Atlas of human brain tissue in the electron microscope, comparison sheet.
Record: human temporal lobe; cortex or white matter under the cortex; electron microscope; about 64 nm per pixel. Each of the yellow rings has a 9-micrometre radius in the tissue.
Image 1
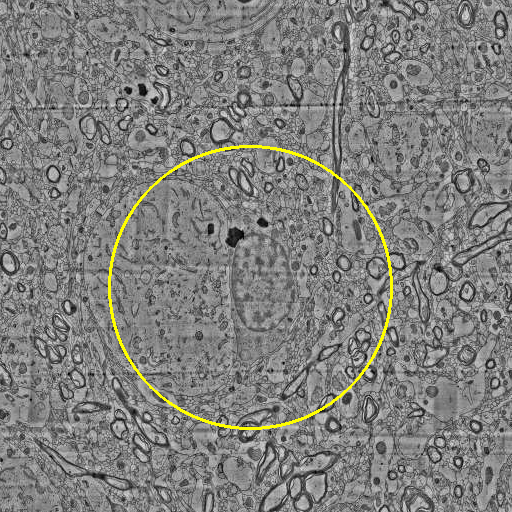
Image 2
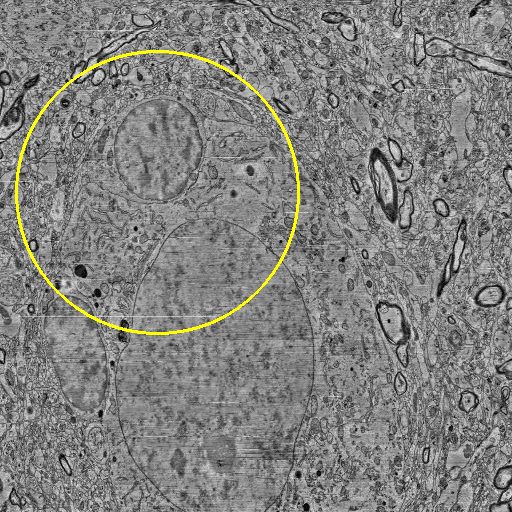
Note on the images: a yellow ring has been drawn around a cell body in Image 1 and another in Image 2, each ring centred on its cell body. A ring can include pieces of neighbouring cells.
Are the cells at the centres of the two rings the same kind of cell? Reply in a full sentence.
Yes, both cells are of the same kind.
